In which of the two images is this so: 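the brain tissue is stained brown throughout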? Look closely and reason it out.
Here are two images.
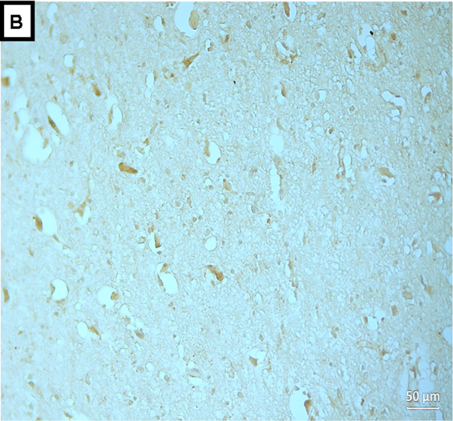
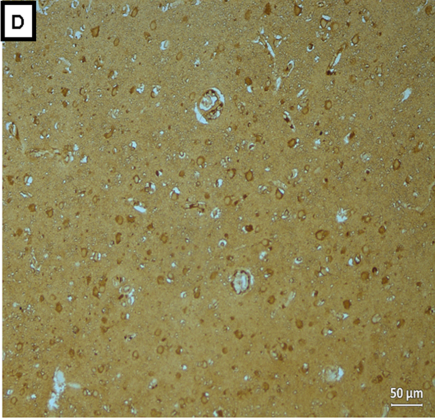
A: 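Second image: the whole neuropil and many cell bodies are evenly brown. So: the second image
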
